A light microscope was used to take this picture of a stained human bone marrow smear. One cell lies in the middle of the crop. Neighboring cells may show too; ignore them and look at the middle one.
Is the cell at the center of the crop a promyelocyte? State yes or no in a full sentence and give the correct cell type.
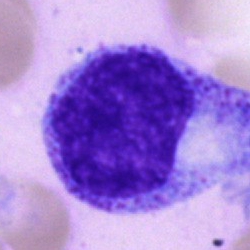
Yes, as for the central cell, it is a promyelocyte.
